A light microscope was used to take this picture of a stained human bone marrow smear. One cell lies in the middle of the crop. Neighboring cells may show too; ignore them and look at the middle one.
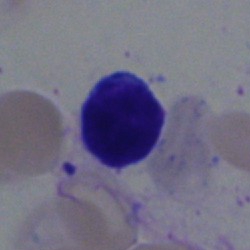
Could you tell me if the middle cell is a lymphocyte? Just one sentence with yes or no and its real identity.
Yes, the middle cell is properly termed a lymphocyte.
